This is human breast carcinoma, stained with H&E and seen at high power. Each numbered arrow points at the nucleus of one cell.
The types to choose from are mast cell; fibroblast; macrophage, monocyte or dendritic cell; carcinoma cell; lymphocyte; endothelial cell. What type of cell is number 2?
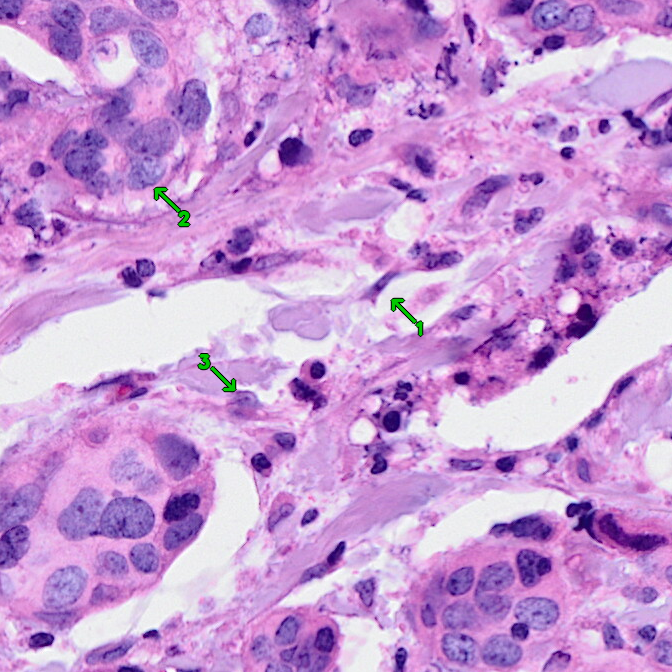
carcinoma cell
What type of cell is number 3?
fibroblast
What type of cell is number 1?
fibroblast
